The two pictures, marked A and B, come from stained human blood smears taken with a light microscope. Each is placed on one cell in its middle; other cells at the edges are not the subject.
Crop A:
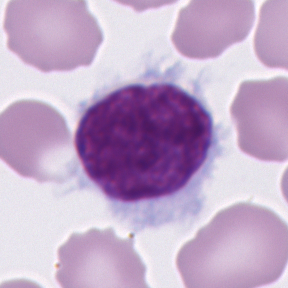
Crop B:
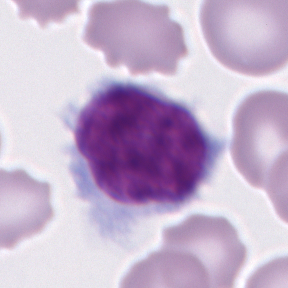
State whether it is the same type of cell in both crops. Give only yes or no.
yes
